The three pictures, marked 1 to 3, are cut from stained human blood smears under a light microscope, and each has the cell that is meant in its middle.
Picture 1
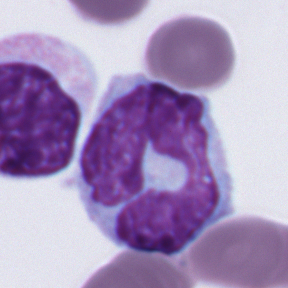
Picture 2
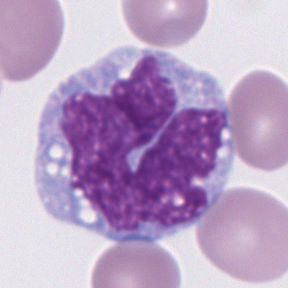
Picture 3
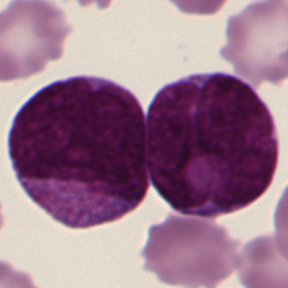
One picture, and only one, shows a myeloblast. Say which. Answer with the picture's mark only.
3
